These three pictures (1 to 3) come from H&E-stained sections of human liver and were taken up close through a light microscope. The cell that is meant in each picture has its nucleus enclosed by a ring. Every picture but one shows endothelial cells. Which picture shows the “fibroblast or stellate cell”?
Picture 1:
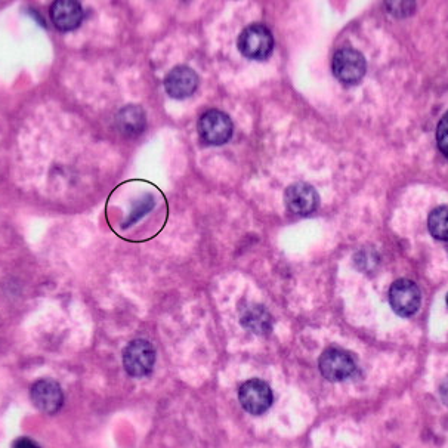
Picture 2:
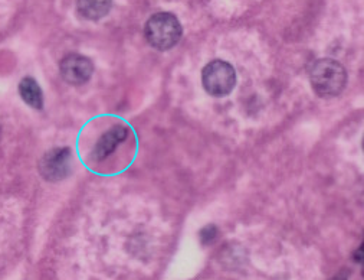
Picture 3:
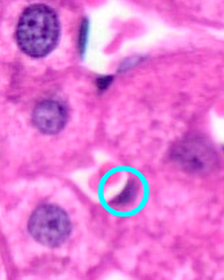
2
